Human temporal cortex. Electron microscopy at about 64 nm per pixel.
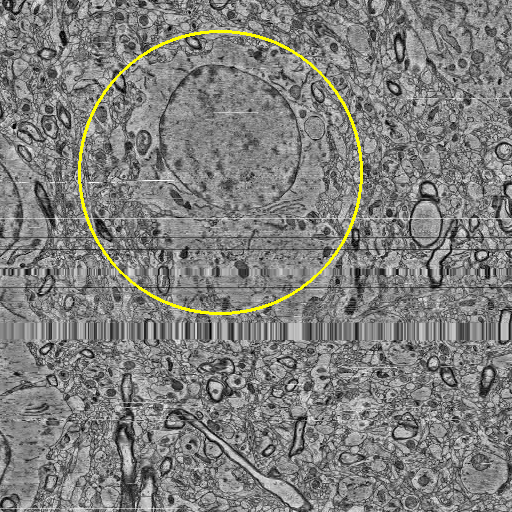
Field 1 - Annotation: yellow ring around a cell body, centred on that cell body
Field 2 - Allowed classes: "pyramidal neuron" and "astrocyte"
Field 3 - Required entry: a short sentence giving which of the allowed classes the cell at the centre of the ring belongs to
The centred cell is an astrocyte.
